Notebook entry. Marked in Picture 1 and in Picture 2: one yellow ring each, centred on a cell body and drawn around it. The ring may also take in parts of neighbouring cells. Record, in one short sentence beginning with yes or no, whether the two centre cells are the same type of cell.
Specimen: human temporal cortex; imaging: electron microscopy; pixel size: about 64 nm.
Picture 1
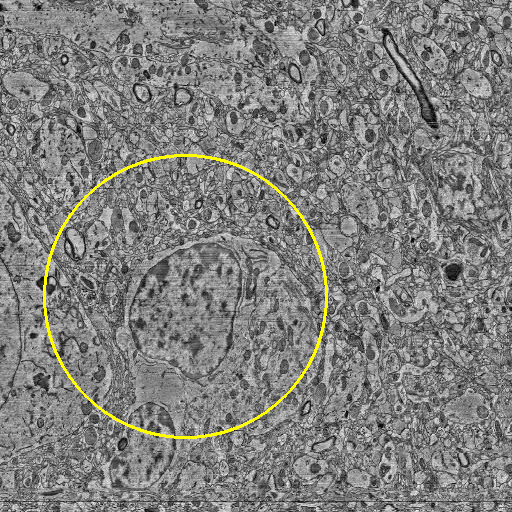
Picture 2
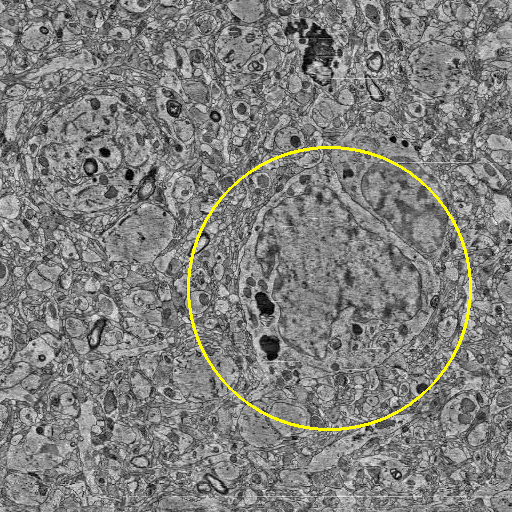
No, they are two types of cell.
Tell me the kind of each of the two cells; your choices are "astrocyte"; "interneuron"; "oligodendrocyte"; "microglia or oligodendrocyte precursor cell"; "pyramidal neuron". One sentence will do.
The ringed cell is a microglial cell or oligodendrocyte precursor cell in the first picture and an interneuron in the second picture.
